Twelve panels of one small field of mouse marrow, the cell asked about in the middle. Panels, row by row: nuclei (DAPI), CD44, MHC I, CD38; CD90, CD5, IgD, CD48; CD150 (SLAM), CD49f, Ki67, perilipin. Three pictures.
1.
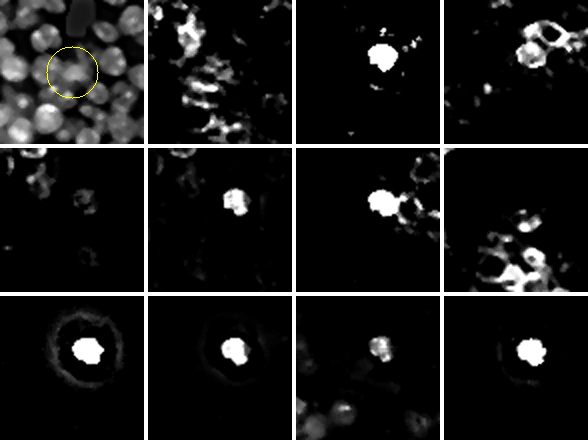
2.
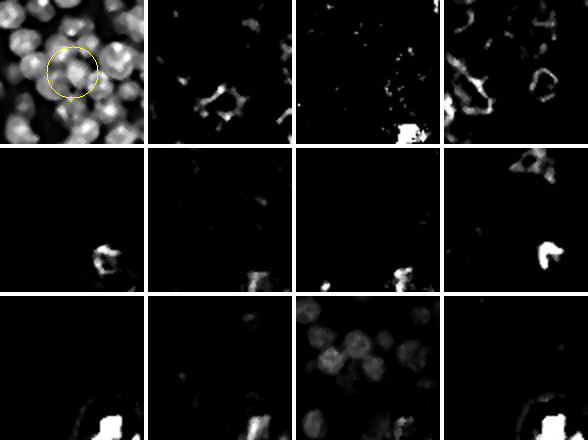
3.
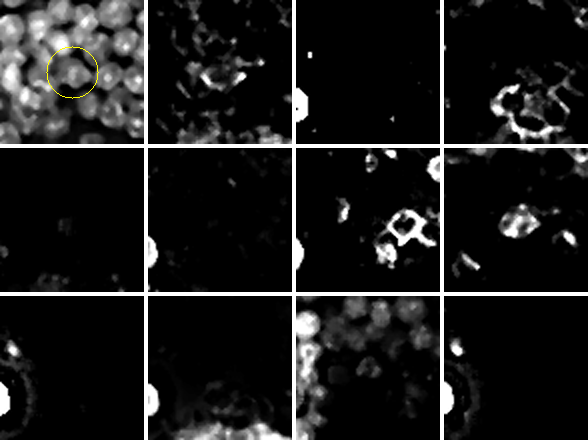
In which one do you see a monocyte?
In picture 3.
